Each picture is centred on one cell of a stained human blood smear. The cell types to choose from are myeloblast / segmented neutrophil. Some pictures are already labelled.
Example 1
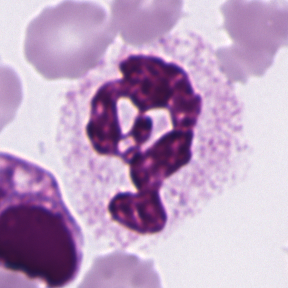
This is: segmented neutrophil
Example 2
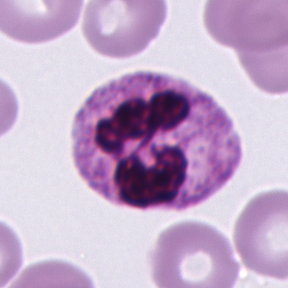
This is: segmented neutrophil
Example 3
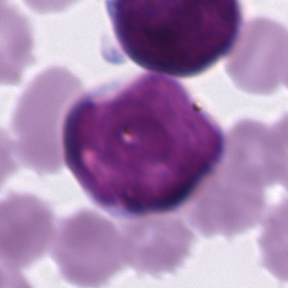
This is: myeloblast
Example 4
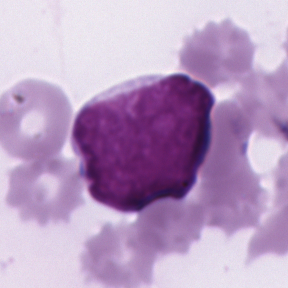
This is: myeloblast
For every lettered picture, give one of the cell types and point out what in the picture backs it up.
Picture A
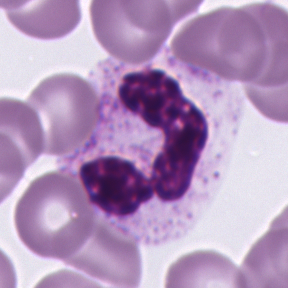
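Answer: segmented neutrophil. The nucleus is divided into three lobes.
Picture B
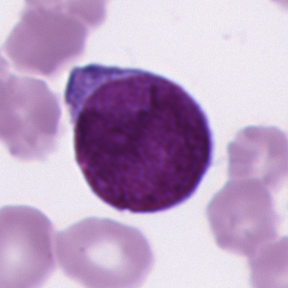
Answer: myeloblast. The cytoplasm is scant, seen mainly as a small cap at the upper left of the nucleus.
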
